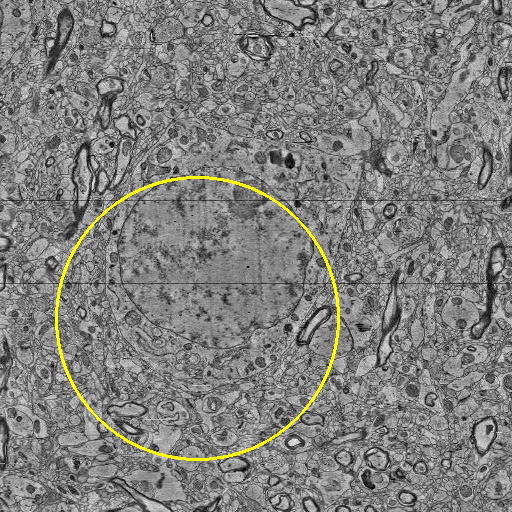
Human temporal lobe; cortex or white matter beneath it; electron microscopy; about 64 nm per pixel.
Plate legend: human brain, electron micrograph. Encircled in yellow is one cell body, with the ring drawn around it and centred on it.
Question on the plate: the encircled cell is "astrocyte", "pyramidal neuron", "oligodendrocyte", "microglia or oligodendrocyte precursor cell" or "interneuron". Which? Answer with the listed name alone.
pyramidal neuron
